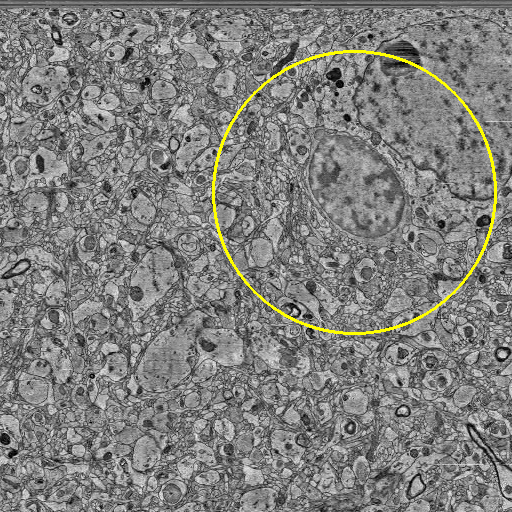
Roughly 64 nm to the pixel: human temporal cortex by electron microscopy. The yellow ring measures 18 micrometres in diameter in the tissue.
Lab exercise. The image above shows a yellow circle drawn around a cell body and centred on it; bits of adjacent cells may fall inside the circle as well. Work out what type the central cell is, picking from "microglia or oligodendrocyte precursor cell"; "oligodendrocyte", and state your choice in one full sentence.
In the image above, the cell at the centre of the yellow circle is an oligodendrocyte.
